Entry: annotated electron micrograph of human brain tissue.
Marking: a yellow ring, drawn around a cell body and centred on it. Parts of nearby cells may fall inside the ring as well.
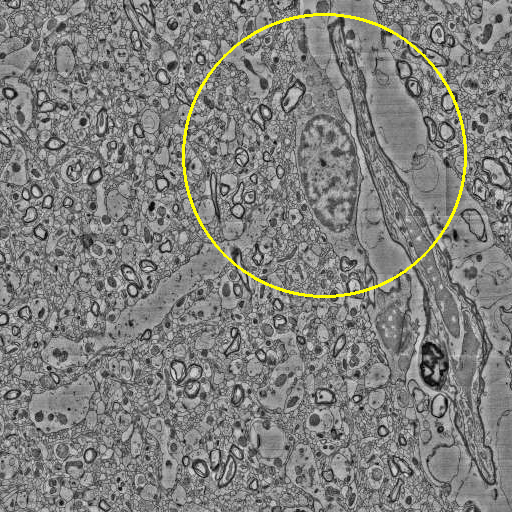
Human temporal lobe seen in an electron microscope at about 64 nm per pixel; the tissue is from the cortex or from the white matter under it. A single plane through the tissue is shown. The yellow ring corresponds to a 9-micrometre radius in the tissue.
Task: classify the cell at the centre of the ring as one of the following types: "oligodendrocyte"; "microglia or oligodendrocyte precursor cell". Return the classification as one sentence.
The marked cell is classified as an oligodendrocyte.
